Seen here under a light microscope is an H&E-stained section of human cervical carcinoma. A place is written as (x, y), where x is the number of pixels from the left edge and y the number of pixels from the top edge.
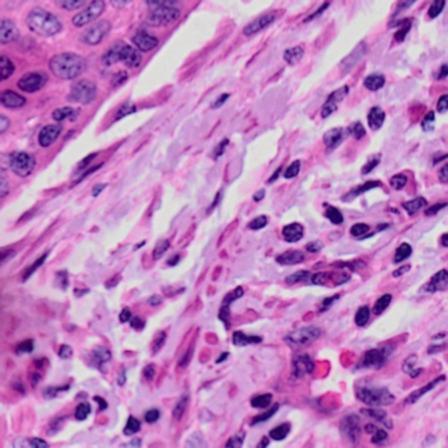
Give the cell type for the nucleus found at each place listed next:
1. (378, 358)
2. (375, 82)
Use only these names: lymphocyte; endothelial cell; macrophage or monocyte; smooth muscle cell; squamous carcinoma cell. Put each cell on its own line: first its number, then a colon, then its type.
1: endothelial cell
2: lymphocyte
